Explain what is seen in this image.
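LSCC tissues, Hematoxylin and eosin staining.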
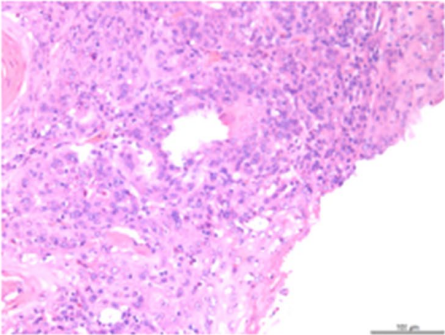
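Crowded tumour cells with pink cytoplasm and purple nuclei form irregular sheets and nests. There is no orderly layered epithelium as in normal lining. Strands of pink stroma run between the cell groups, a small irregular clear space lies near the centre, and a patch of dense pink material sits at the upper left corner.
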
